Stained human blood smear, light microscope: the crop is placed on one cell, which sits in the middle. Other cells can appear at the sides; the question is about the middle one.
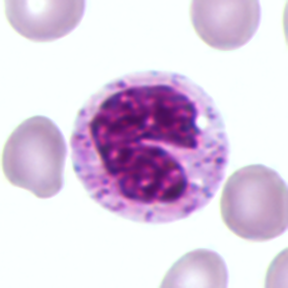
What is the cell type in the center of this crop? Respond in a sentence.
The cell shown in the center of this light-microscope crop is a band neutrophil.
